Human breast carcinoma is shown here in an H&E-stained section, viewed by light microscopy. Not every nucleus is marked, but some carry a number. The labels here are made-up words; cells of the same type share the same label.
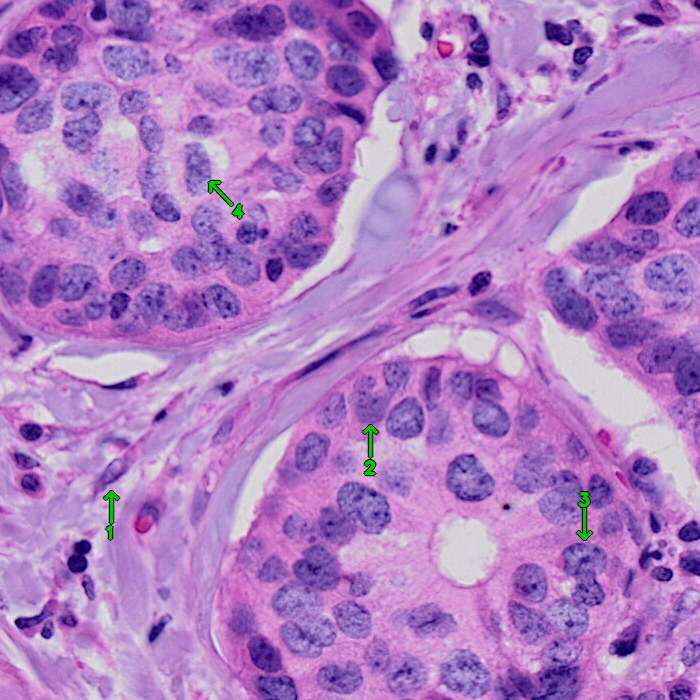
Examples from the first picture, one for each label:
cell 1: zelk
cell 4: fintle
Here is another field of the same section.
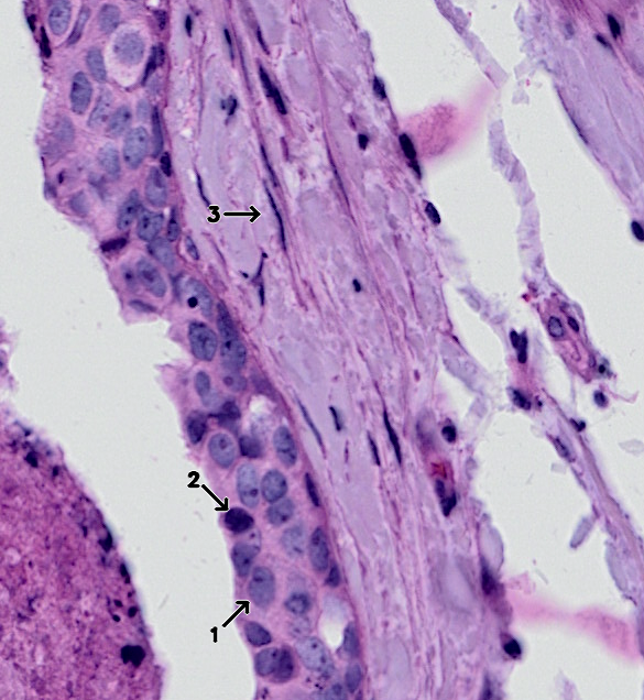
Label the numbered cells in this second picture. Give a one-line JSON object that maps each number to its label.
{"1": "fintle", "2": "fintle", "3": "zelk"}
